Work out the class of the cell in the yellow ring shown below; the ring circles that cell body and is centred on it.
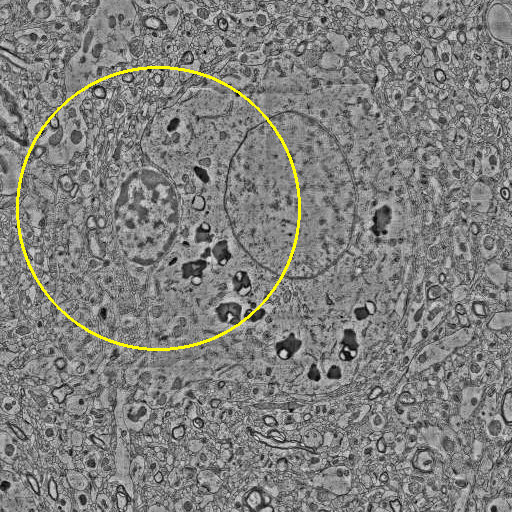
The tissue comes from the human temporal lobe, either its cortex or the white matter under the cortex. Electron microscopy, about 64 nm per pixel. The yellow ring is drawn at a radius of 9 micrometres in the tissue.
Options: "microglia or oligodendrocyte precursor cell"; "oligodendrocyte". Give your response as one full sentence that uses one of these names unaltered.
The body ringed in yellow, right at the ring's centre, is that of a microglial cell or oligodendrocyte precursor cell.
